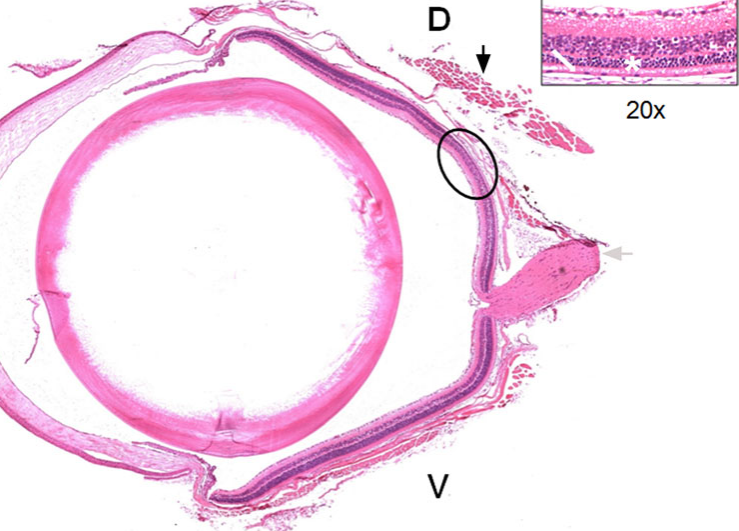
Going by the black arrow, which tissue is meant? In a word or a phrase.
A: superior rectus muscle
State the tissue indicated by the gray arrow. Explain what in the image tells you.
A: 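A thick pink cord of tissue leaves the back of the eye through a gap in the retina.
Answer: optic nerve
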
